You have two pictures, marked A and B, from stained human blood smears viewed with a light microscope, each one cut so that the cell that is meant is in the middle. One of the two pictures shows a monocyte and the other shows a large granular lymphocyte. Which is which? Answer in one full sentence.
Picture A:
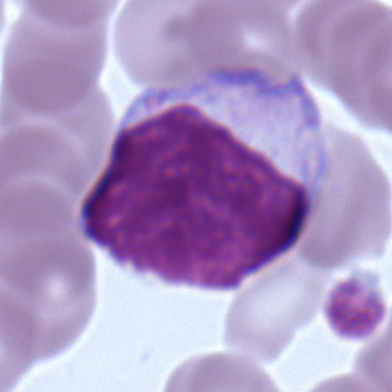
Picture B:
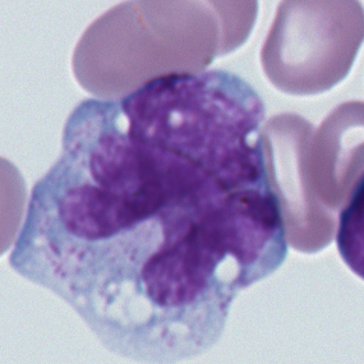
Picture B shows a monocyte, while picture A shows a large granular lymphocyte.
